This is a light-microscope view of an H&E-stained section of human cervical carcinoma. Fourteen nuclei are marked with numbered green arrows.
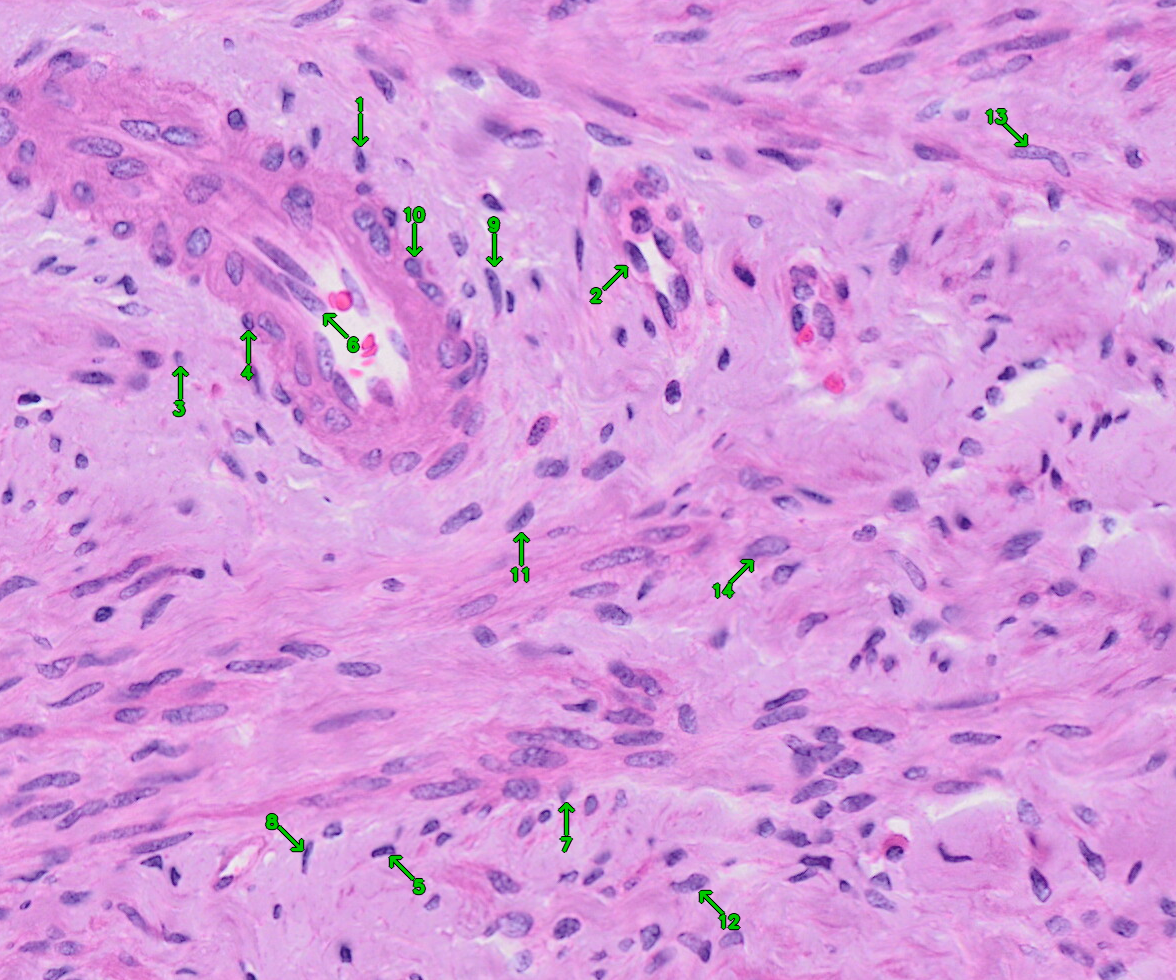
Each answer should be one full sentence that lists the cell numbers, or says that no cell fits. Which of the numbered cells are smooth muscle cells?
The cells that the numbers 4, 7, 10, 13 and 14 belong to are smooth muscle cells.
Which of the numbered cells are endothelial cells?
The cells bearing the numbers 2 and 6 are endothelial cells.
